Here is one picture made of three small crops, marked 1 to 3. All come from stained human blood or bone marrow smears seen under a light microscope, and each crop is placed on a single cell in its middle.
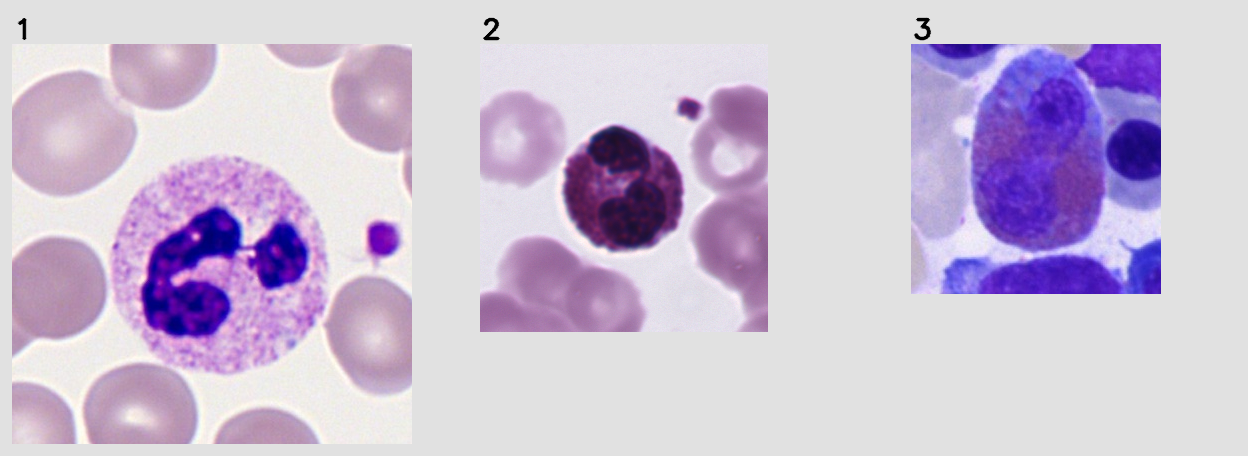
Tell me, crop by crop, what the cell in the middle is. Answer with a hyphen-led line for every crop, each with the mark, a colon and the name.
- 1: neutrophil
- 2: eosinophil
- 3: eosinophil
